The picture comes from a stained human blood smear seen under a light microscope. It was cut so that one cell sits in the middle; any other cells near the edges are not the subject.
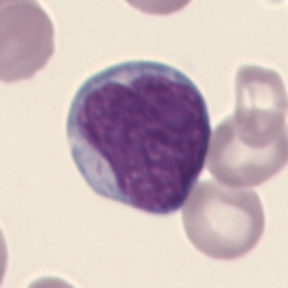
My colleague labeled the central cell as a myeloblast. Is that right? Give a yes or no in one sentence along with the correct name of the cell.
Yes, as for the central cell, it is a myeloblast.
